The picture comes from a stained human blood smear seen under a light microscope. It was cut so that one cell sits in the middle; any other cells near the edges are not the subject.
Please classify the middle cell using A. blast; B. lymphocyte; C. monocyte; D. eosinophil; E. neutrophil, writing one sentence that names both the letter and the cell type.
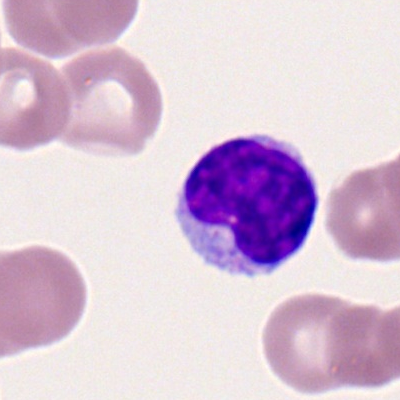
That cell in the center is a lymphocyte, hence option B.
